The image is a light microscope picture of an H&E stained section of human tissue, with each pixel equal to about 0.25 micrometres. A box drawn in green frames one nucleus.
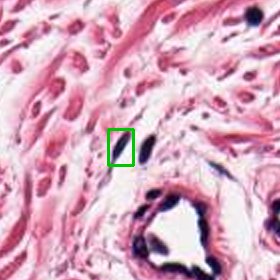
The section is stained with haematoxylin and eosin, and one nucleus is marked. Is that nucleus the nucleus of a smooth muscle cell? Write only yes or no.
no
